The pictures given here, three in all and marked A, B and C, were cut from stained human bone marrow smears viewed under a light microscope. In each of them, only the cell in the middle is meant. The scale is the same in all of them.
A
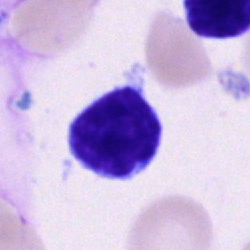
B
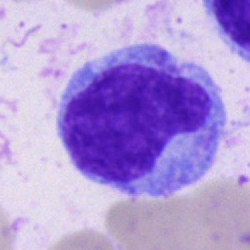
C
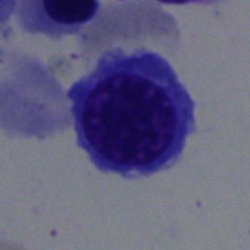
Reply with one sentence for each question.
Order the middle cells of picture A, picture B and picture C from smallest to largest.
From the smallest up, the order is A, C, B.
